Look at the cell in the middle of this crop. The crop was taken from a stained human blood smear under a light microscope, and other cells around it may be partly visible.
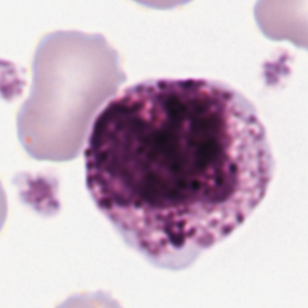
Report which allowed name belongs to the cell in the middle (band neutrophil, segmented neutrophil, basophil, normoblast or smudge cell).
basophil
